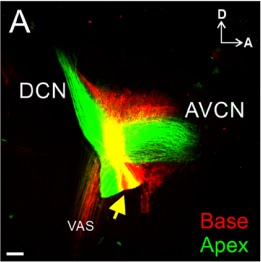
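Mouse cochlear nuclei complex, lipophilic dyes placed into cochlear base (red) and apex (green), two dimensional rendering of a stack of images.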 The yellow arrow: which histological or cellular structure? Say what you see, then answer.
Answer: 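Labelled fibers converge into a dense bundle at the arrow. From that point fibers fan out into the cochlear nuclei.
Nerve entry points.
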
